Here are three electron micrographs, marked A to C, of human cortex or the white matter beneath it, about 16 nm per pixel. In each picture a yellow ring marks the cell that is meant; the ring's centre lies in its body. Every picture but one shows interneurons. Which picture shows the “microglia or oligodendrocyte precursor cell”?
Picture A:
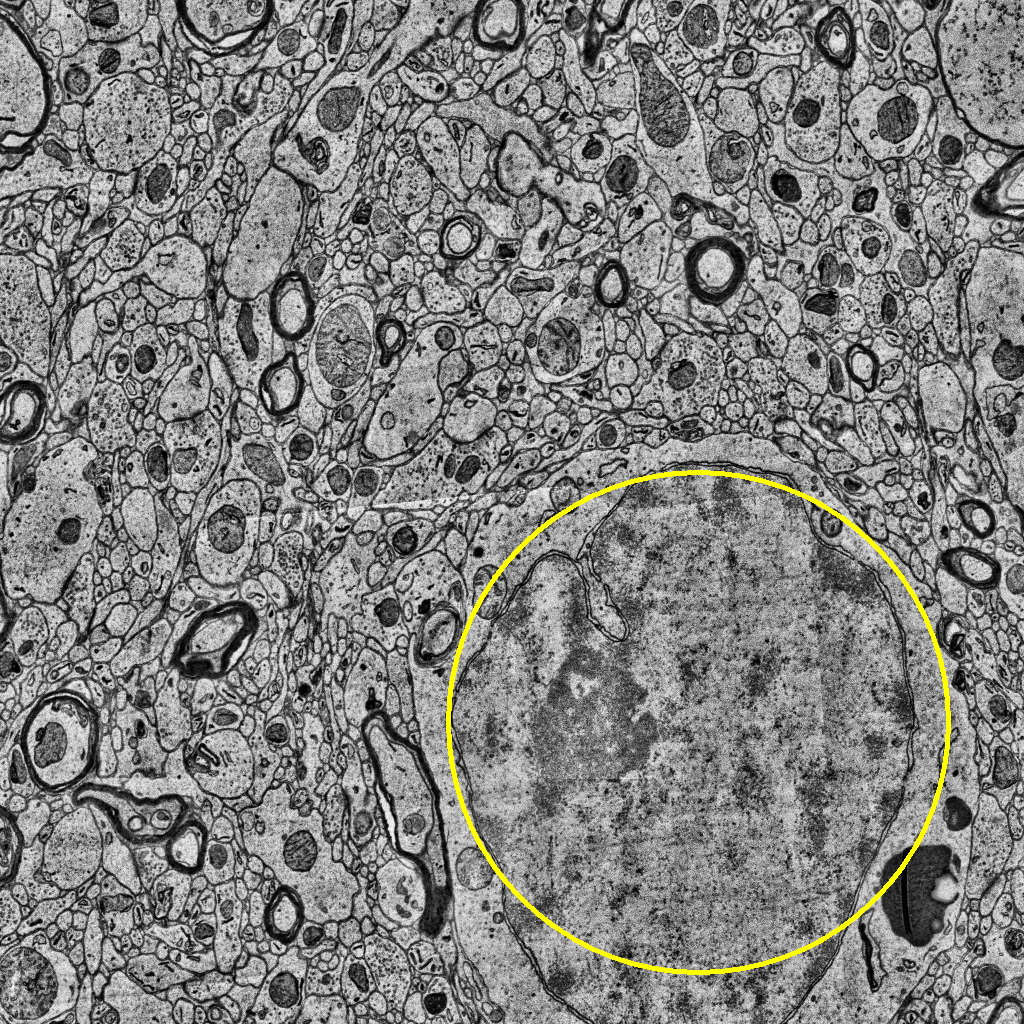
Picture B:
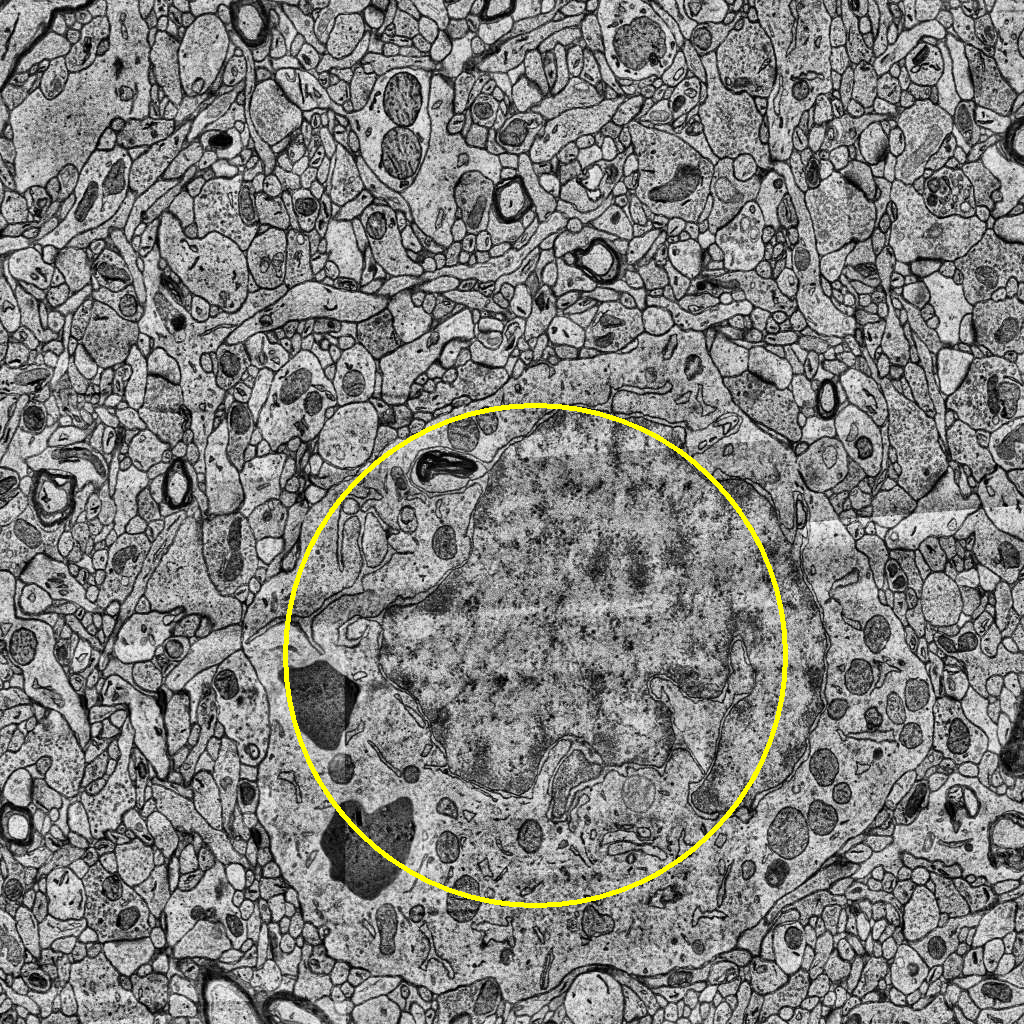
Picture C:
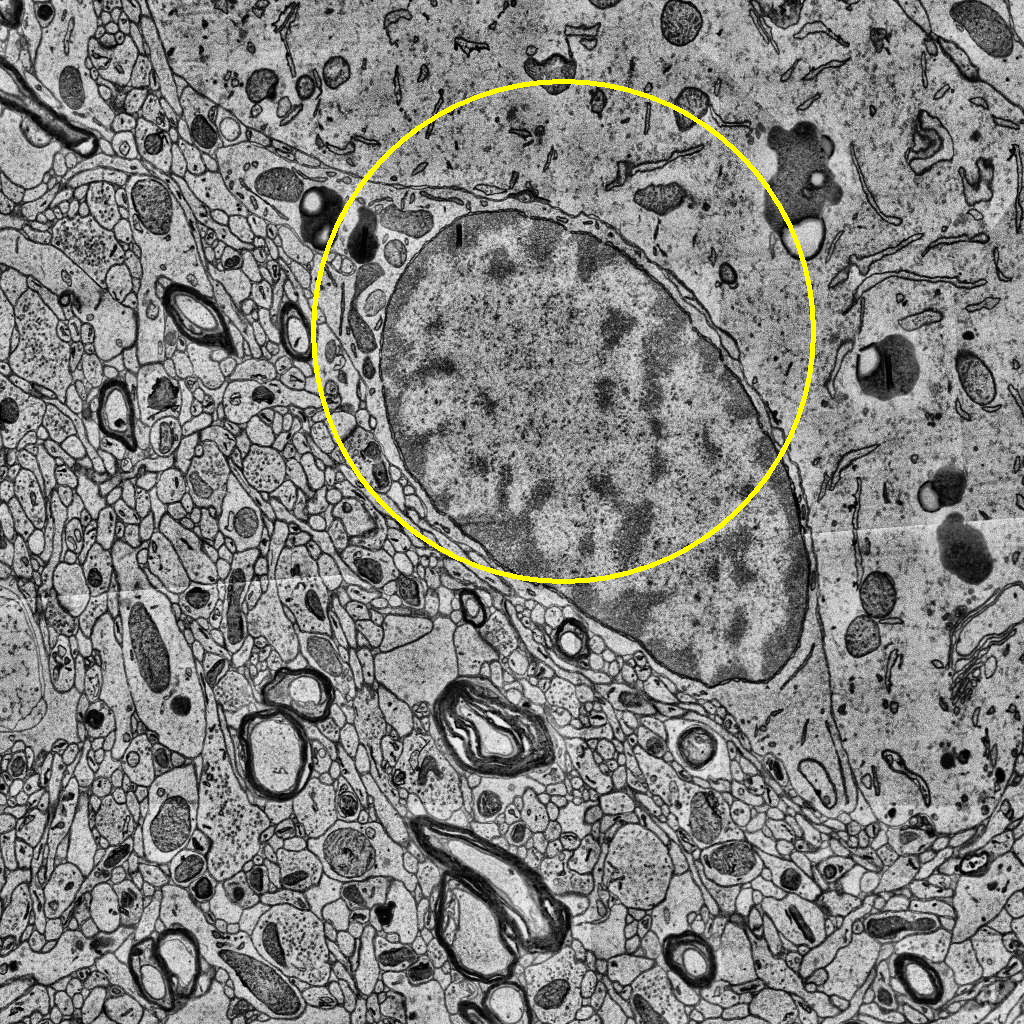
The picture with the “microglia or oligodendrocyte precursor cell” is C.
